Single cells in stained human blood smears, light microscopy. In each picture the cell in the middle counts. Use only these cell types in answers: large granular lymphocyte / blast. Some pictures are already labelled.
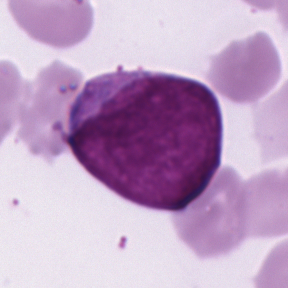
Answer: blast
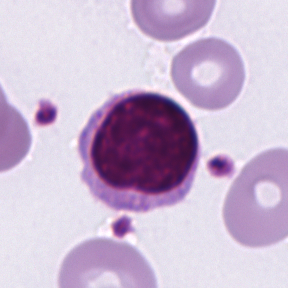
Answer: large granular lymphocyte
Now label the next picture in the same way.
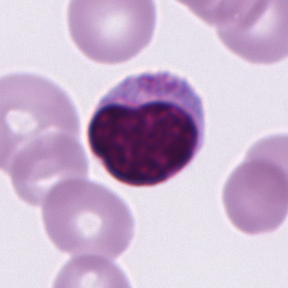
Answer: large granular lymphocyte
